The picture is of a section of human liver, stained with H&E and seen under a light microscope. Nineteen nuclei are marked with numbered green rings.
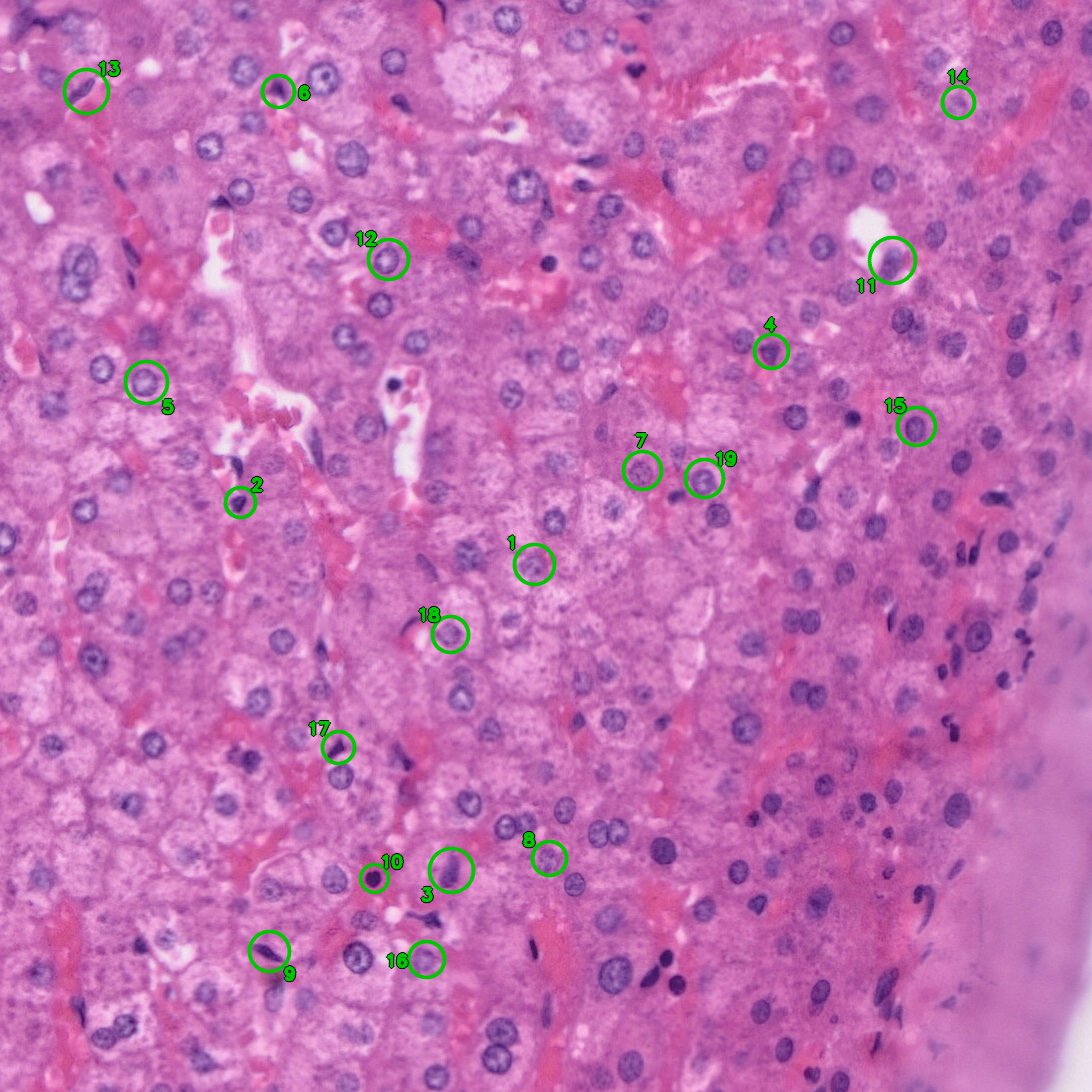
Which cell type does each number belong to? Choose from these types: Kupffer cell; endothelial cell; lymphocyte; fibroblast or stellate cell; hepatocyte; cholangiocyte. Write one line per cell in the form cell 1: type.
cell 1: hepatocyte
cell 2: fibroblast or stellate cell
cell 3: fibroblast or stellate cell
cell 4: fibroblast or stellate cell
cell 5: hepatocyte
cell 6: fibroblast or stellate cell
cell 7: hepatocyte
cell 8: hepatocyte
cell 9: fibroblast or stellate cell
cell 10: lymphocyte
cell 11: Kupffer cell
cell 12: hepatocyte
cell 13: endothelial cell
cell 14: hepatocyte
cell 15: hepatocyte
cell 16: hepatocyte
cell 17: fibroblast or stellate cell
cell 18: hepatocyte
cell 19: hepatocyte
